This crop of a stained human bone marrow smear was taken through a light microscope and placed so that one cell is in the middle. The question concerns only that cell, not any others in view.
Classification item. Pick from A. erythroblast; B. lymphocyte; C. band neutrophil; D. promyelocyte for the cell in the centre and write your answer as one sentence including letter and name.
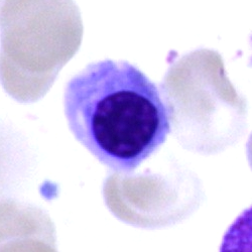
Option A is the right choice, the central cell being an erythroblast.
